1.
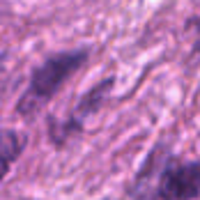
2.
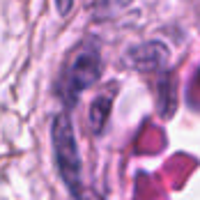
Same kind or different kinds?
Same: vascular myocytes.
